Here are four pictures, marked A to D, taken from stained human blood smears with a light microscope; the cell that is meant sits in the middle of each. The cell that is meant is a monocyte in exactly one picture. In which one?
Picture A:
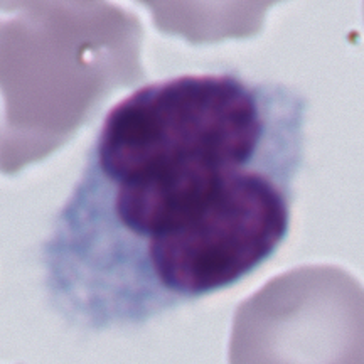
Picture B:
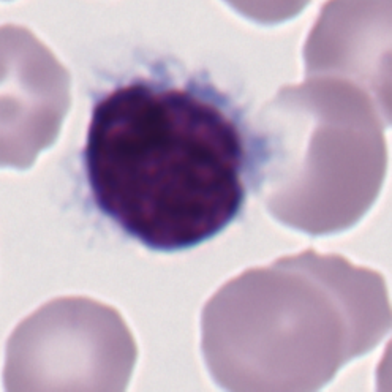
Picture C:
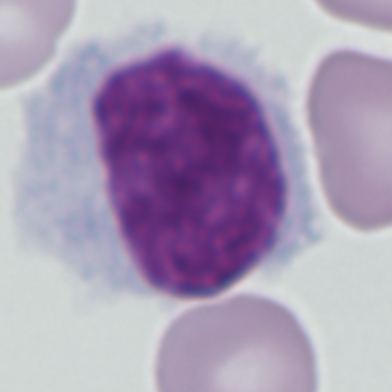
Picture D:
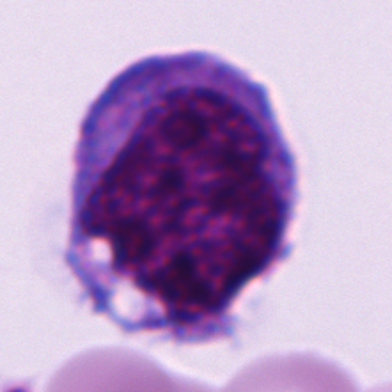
D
